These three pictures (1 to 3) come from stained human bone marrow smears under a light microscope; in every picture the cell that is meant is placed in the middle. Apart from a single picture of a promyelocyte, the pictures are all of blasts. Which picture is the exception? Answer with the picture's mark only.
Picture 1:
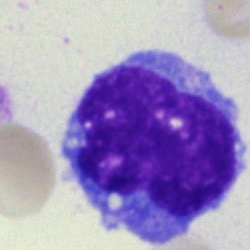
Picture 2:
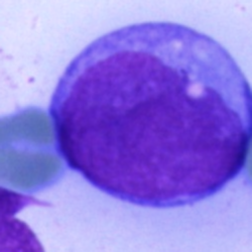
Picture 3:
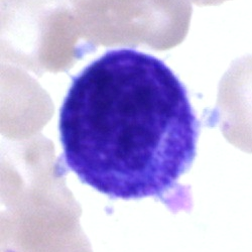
3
